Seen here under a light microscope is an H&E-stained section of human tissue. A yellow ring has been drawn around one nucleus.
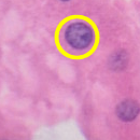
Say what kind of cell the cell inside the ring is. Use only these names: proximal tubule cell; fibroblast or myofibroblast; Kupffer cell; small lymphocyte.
proximal tubule cell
